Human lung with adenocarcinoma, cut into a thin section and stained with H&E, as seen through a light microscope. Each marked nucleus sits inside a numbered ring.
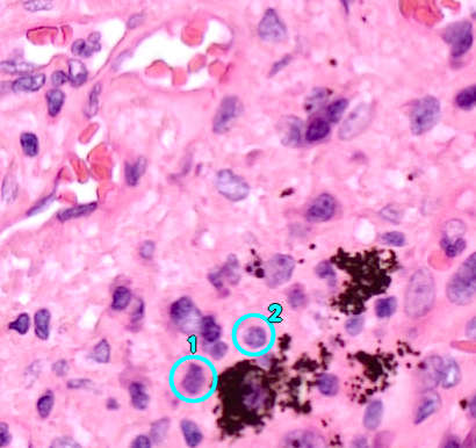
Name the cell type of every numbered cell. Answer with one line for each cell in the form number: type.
1: plasma cell
2: lymphocyte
